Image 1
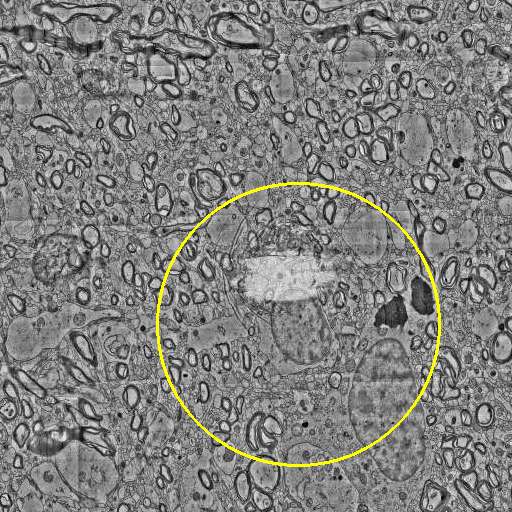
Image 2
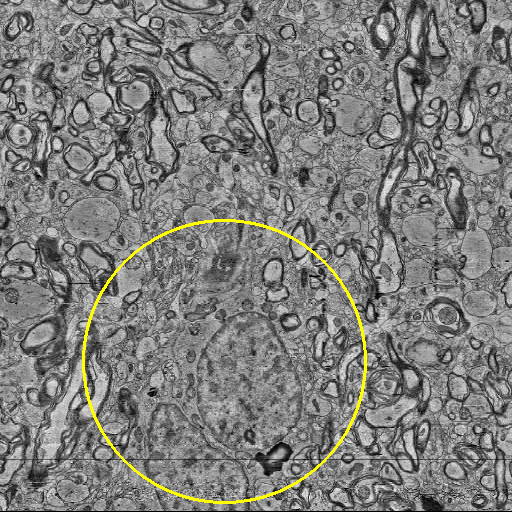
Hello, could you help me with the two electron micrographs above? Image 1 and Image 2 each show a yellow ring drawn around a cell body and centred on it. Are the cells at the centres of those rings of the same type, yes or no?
no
